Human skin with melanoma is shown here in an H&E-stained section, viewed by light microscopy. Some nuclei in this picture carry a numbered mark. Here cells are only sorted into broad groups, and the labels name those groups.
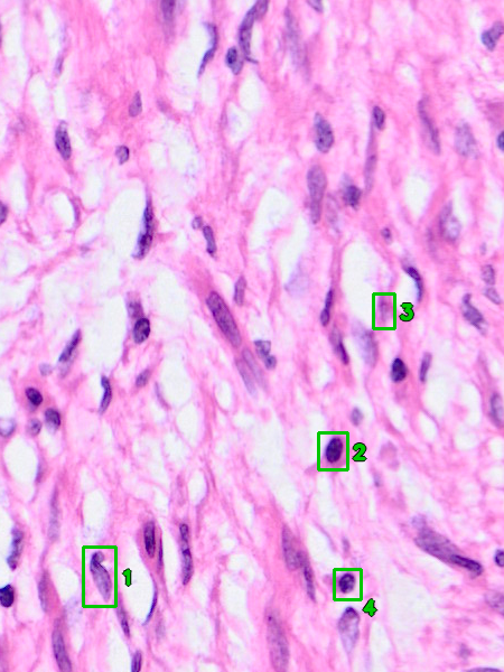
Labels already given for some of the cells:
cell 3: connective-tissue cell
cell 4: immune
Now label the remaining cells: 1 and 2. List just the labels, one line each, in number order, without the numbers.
immune
immune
